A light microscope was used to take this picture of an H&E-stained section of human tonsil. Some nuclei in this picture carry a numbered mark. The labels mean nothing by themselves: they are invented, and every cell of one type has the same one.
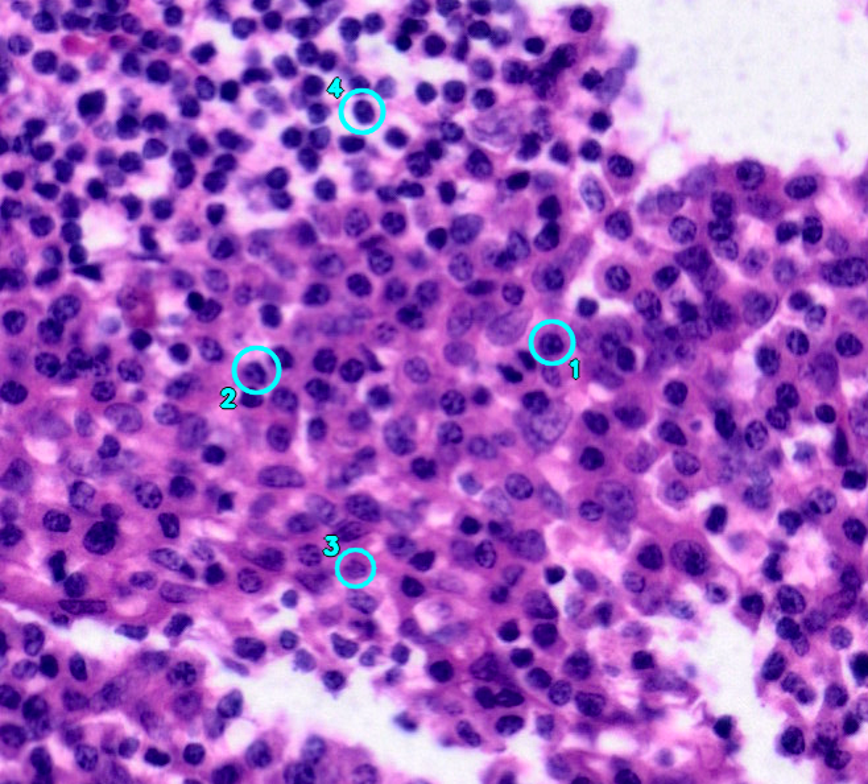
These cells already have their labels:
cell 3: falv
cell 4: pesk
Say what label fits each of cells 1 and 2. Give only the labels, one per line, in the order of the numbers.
falv
falv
